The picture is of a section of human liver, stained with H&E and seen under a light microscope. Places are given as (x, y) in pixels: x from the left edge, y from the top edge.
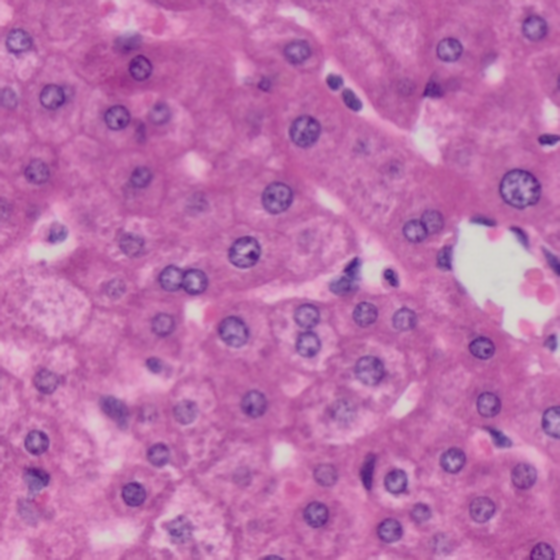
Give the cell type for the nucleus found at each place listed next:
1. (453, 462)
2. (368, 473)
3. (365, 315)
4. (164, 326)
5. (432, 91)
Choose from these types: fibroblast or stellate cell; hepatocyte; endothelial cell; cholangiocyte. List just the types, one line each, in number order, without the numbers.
hepatocyte
fibroblast or stellate cell
hepatocyte
hepatocyte
fibroblast or stellate cell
